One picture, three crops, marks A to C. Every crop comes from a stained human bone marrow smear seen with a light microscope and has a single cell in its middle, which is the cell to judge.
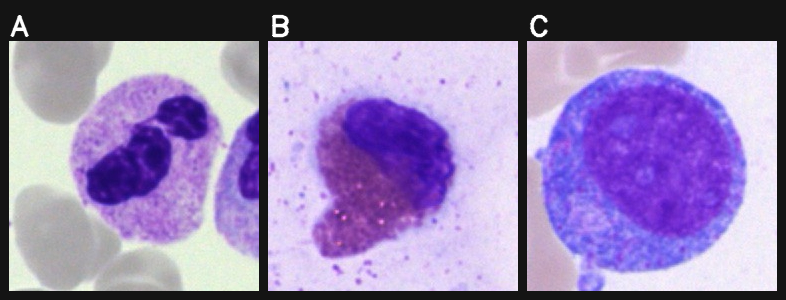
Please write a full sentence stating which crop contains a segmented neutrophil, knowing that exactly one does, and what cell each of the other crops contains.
Crop A corresponds to a segmented neutrophil, whereas crop B is an eosinophil and crop C is a promyelocyte.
